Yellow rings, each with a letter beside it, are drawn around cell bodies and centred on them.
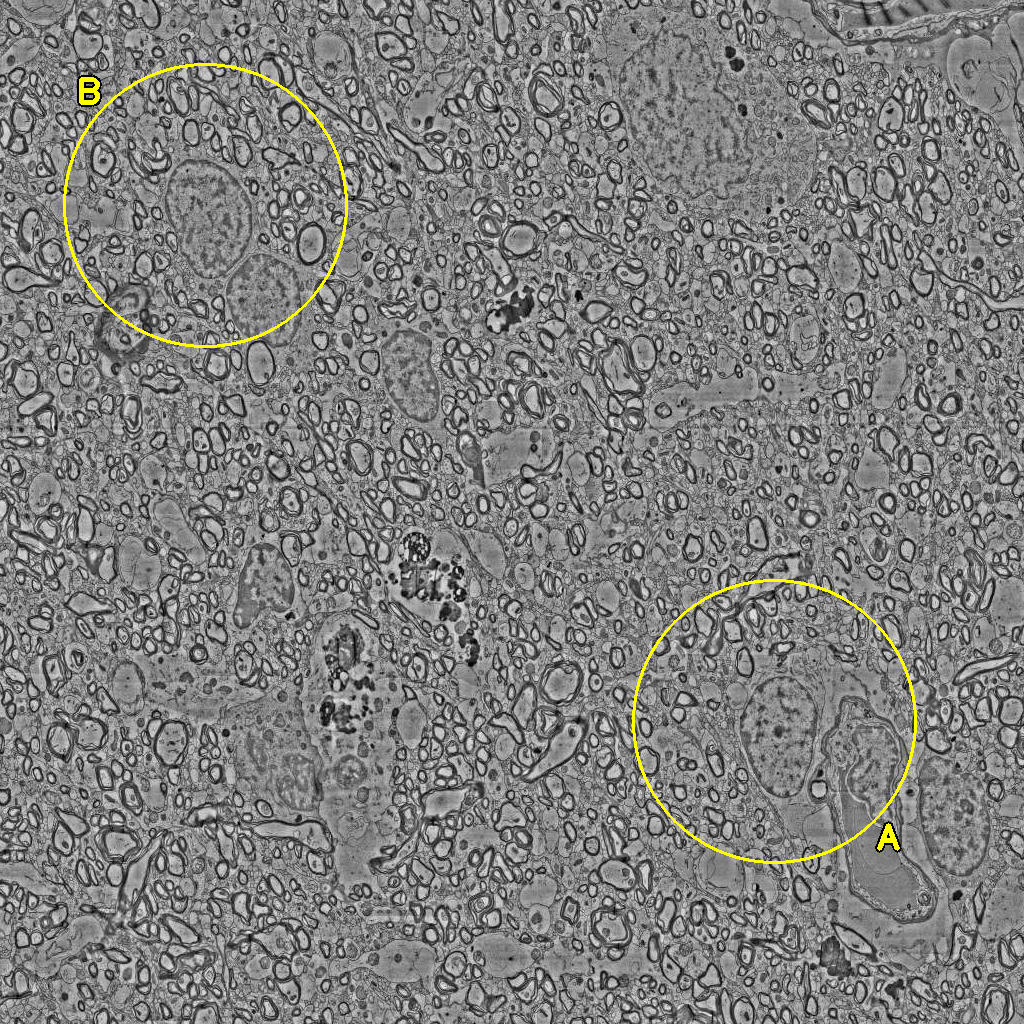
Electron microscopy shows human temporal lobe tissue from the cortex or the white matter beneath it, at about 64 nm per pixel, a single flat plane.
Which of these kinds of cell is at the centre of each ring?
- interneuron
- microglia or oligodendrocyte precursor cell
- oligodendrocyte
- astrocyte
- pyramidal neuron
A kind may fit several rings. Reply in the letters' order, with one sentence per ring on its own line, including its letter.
The cell in the middle of ring A is a microglial cell or oligodendrocyte precursor cell.
The cell in the middle of ring B is an oligodendrocyte.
